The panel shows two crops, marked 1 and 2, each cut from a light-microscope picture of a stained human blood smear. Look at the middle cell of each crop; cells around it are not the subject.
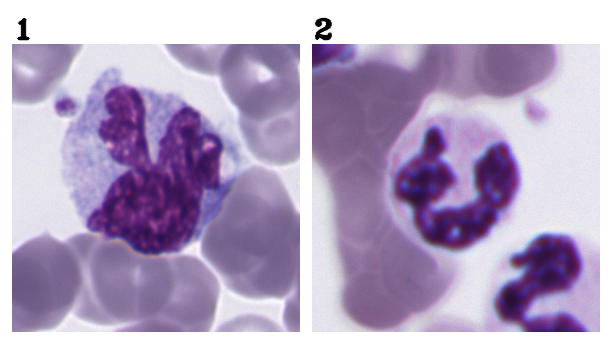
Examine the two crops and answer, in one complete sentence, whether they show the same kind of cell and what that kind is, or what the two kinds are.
No, the assignment should read crop 1, a monocyte; crop 2, a segmented neutrophil.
